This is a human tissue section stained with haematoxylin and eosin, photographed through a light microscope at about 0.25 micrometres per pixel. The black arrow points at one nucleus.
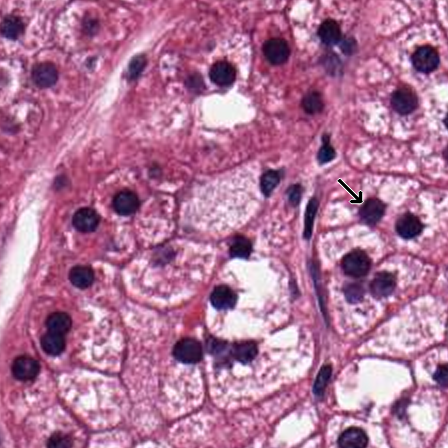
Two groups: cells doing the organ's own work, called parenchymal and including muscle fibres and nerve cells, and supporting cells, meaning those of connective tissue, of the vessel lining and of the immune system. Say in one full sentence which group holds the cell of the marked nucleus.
The marked nucleus is held by a parenchymal cell, namely an adrenal cortical cell.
